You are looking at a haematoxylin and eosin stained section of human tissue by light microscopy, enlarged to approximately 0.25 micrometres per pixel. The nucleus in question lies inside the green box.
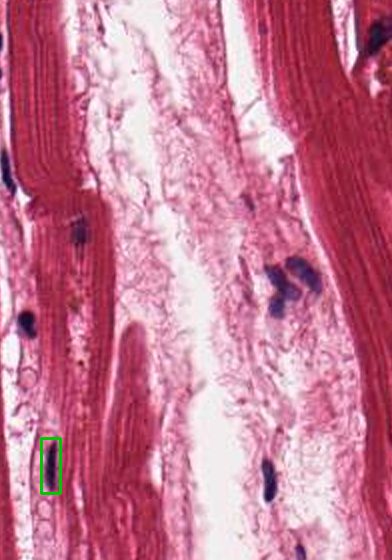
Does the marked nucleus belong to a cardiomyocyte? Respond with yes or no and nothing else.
no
